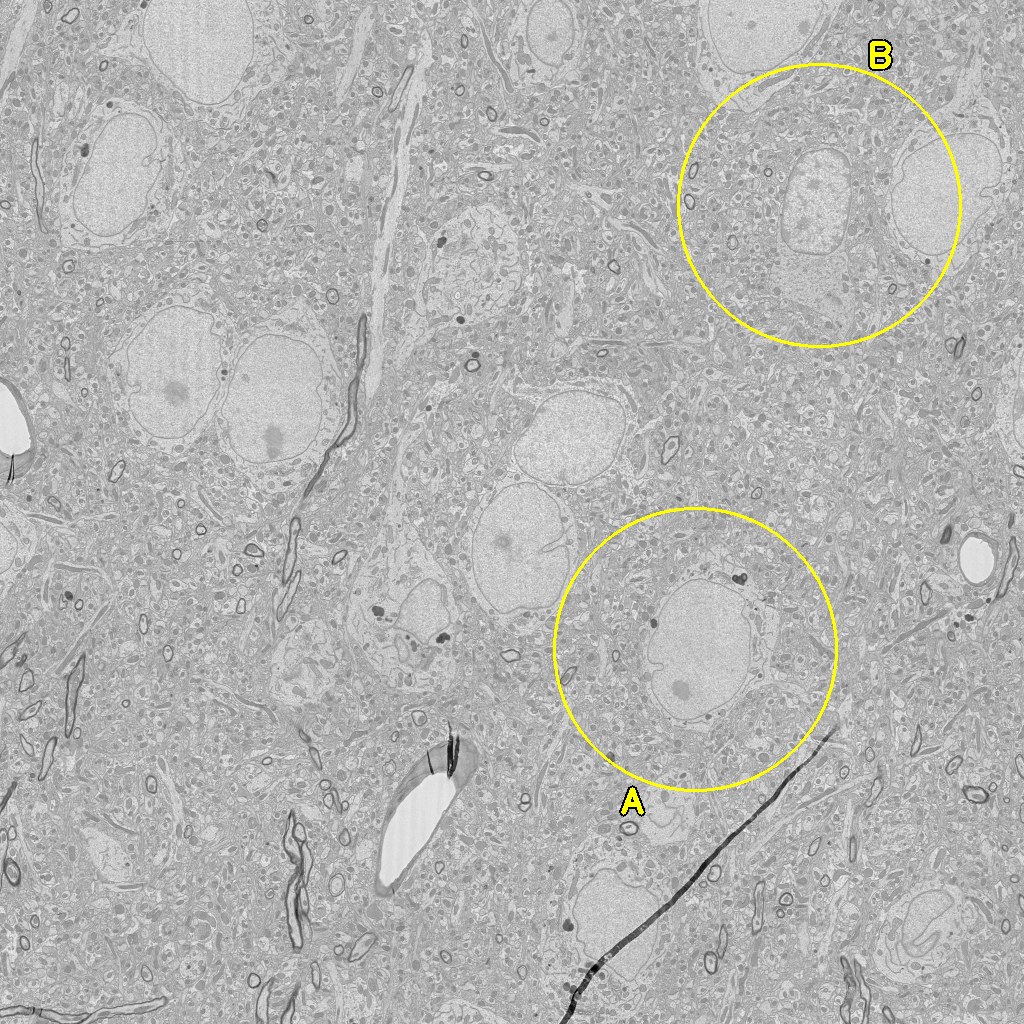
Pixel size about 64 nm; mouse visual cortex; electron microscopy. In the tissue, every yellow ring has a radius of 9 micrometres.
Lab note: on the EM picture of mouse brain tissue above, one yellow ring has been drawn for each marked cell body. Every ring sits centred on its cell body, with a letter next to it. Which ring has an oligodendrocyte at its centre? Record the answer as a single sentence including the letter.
Noted: the cell in question is at the centre of ring B.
